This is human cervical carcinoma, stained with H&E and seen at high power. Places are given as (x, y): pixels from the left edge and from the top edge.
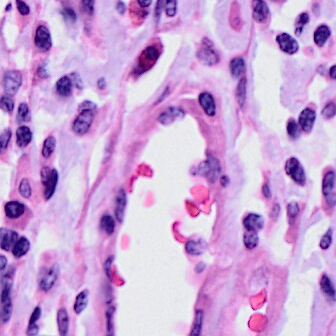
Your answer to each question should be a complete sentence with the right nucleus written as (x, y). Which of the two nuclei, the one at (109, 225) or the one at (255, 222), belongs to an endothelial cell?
Of the pair, the nucleus located at (109, 225) belongs to an endothelial cell.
